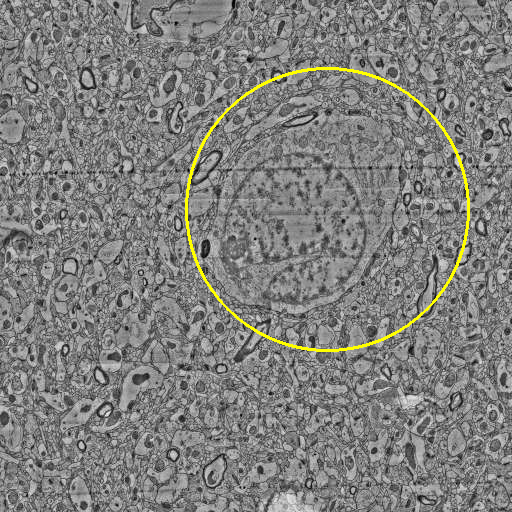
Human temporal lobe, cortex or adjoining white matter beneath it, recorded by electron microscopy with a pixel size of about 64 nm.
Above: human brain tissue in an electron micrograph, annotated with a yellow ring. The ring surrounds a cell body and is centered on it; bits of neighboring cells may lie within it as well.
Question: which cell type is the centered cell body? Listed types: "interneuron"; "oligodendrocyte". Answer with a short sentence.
The centered cell body is an interneuron.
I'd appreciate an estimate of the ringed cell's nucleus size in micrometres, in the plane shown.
Roughly 9 micrometres across for the nucleus, in this plane.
